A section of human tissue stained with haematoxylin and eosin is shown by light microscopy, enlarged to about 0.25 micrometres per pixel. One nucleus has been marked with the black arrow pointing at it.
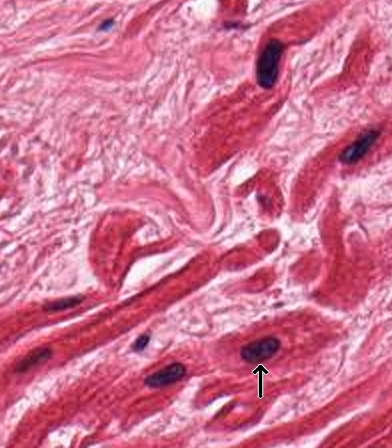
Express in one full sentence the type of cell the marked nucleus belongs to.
The marked nucleus is the nucleus of a cardiomyocyte.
